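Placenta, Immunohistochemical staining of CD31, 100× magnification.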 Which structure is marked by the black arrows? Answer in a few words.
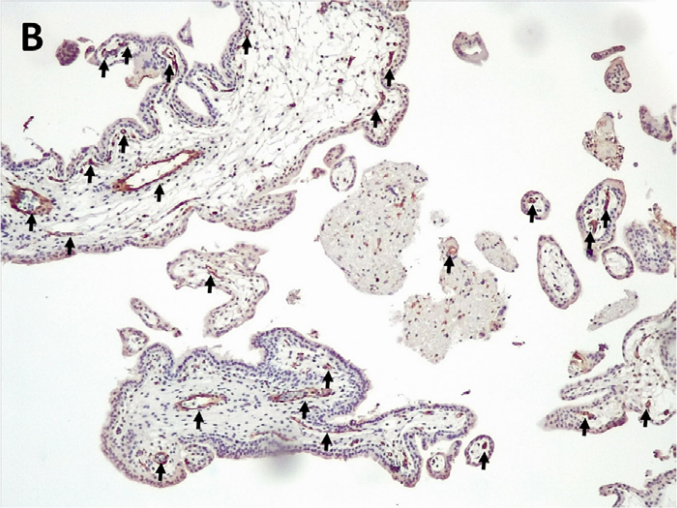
Vessels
